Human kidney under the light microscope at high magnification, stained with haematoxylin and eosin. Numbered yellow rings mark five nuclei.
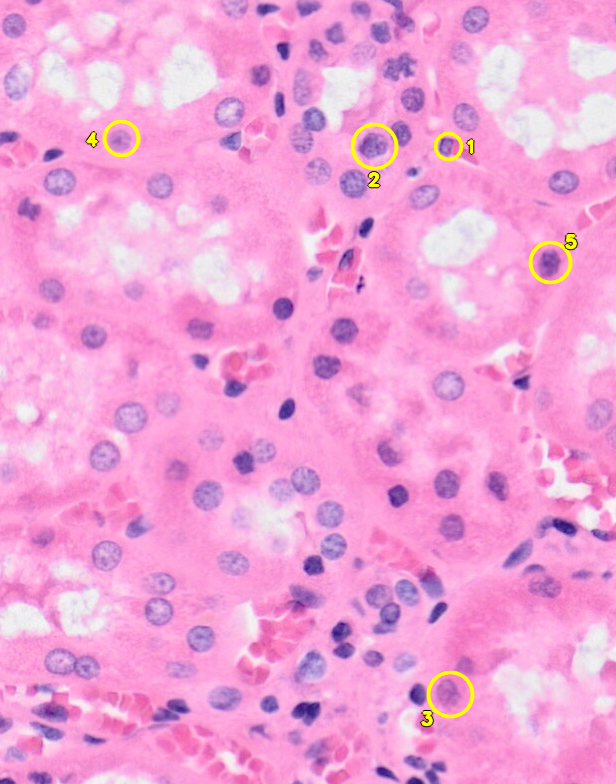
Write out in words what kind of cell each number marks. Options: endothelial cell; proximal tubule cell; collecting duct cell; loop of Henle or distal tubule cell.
Cell 1 is an endothelial cell, cell 2 is a loop of Henle or distal tubule cell, cell 3 is a proximal tubule cell, cell 4 is a proximal tubule cell and cell 5 is a proximal tubule cell.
